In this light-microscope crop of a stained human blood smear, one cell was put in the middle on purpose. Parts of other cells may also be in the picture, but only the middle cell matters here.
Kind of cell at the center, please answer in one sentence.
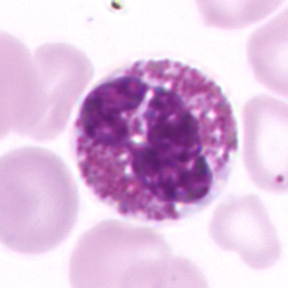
In the center of this field lies an eosinophil.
